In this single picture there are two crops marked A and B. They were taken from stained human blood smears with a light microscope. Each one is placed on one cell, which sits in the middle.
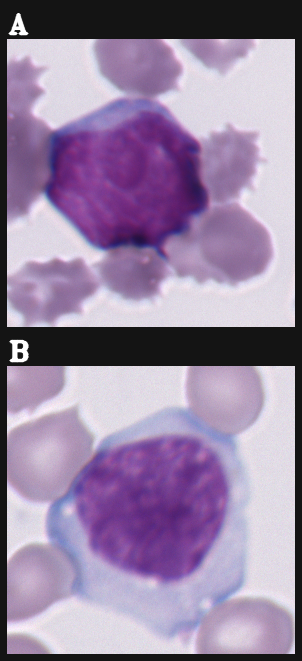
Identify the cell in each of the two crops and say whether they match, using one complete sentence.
Yes, in short, both crops show myeloblasts.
